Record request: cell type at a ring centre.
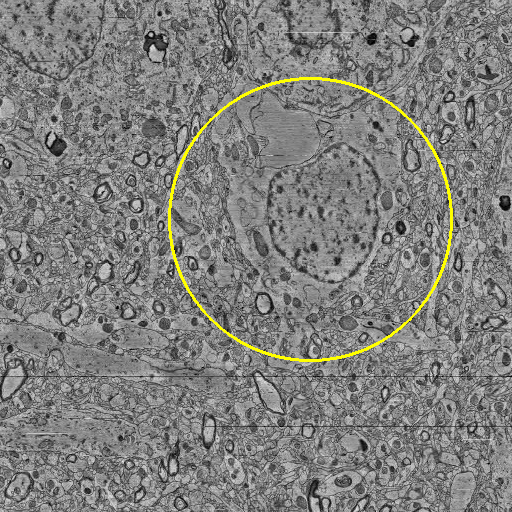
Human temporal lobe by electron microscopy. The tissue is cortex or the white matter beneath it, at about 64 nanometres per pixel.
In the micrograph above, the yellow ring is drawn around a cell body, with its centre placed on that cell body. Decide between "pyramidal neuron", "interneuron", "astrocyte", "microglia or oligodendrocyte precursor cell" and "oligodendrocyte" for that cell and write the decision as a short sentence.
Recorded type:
The cell centred in the yellow ring is an astrocyte.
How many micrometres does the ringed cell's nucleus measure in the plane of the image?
About 9 by 7 micrometers for the nucleus, in this plane.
